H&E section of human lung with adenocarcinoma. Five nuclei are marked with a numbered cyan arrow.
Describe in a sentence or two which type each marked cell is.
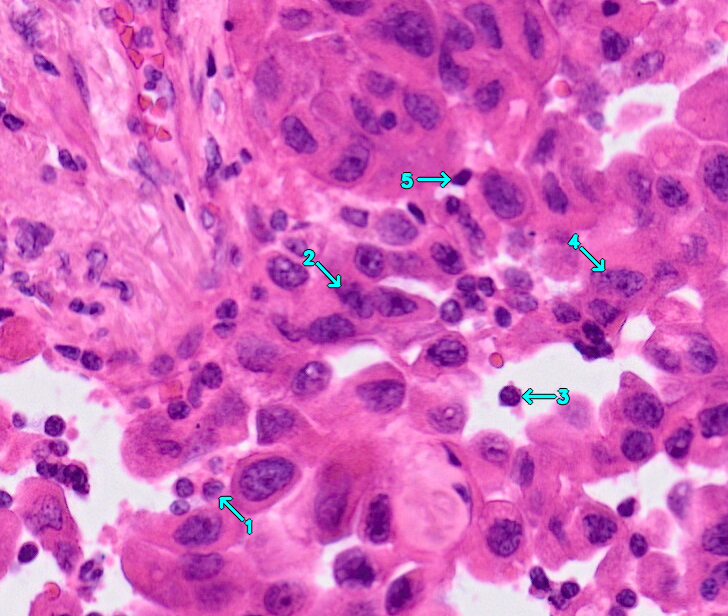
Cell 1 is a lymphocyte, cell 2 is a carcinoma cell, cell 3 is a lymphocyte, cell 4 is a carcinoma cell and cell 5 is a lymphocyte.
